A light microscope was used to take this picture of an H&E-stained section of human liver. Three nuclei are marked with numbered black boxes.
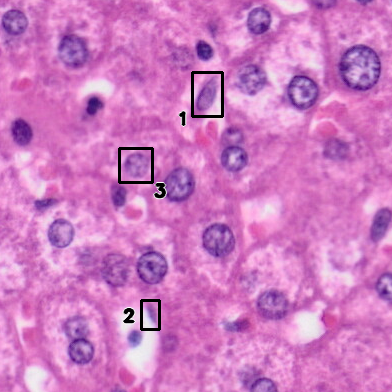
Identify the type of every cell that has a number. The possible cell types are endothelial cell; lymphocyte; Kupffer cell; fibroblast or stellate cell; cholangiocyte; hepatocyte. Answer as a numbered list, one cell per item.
1. Kupffer cell
2. endothelial cell
3. hepatocyte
